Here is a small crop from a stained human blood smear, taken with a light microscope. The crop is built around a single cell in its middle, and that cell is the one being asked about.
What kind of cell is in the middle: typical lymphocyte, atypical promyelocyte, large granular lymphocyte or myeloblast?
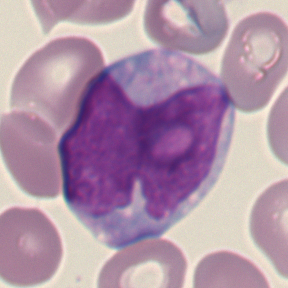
atypical promyelocyte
